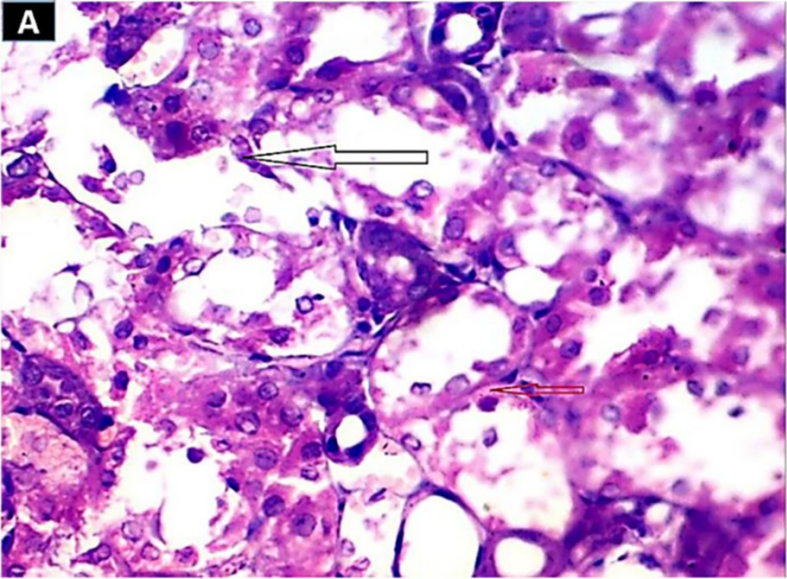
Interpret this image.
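This is kidney cortex with renal tubules whose epithelium is badly damaged, consistent with tubular necrosis. Many tubular profiles are occupied by pale, cleared or vacuolated areas where the pink cytoplasm has largely disappeared. The epithelial lining is discontinuous, and rounded cells with small nuclei lie loose within the tubular spaces. Some darker, more intensely stained cells and tubules remain between the damaged areas, separated by thin purple interstitial strands.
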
